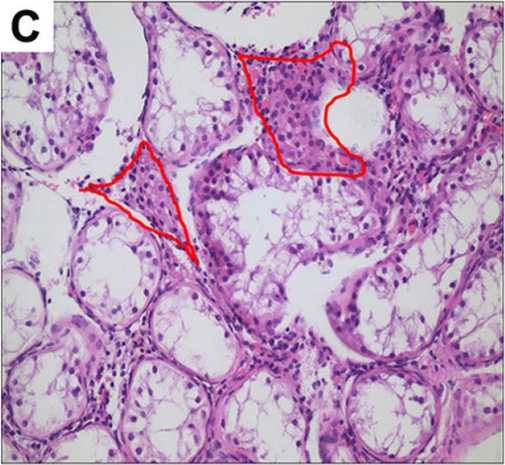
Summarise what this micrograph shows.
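This is testicular tissue in which the seminiferous tubules contain only Sertoli cells, with small clusters of interstitial cells between them. Between the tubules, in the areas traced in red, lie groups of polygonal cells with pinker cytoplasm and round nuclei.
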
